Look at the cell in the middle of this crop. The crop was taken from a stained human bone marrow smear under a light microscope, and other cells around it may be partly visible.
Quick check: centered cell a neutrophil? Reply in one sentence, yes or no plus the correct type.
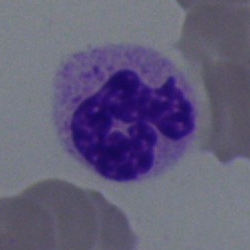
Yes, a neutrophil is the cell positioned in the middle of the field.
